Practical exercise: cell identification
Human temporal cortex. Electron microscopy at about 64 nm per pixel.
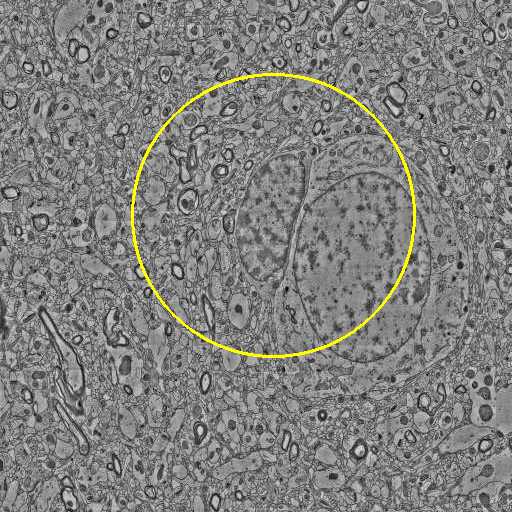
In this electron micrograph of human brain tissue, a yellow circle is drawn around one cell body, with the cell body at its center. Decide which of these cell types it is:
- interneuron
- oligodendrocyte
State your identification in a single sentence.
The ringed cell is an oligodendrocyte.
